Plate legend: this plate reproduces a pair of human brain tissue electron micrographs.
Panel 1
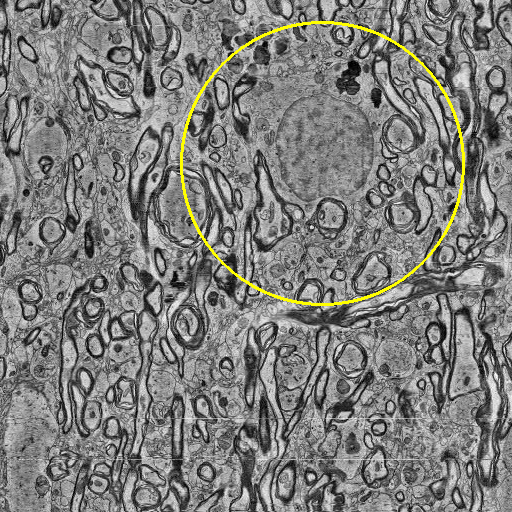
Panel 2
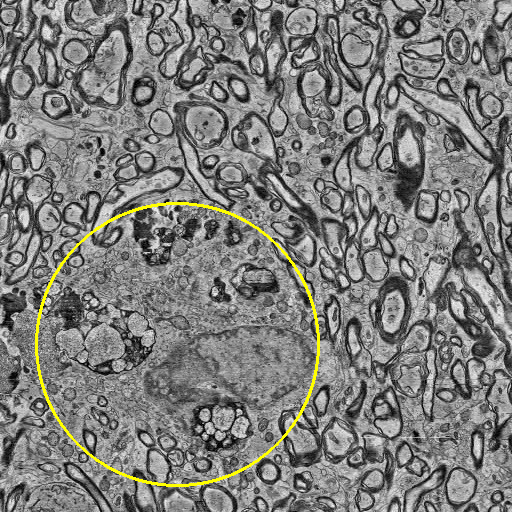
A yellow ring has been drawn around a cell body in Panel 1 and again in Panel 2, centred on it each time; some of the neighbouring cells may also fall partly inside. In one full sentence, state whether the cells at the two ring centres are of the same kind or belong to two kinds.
The ring-centred cells of Panel 1 and Panel 2 belong to two kinds.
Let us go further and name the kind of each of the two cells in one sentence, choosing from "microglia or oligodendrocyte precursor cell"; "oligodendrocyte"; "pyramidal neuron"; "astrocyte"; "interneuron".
The ring of the first picture is on an oligodendrocyte, the ring of the second on an astrocyte.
